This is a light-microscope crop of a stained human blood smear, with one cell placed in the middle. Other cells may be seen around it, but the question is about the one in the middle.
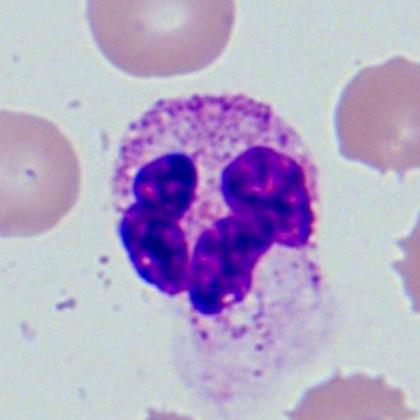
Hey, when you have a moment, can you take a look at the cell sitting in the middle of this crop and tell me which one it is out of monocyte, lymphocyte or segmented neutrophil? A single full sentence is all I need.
At the center of the crop sits a segmented neutrophil.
